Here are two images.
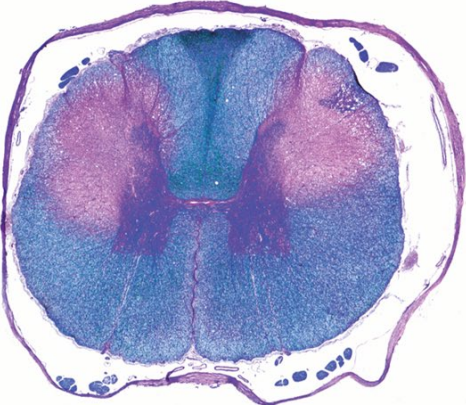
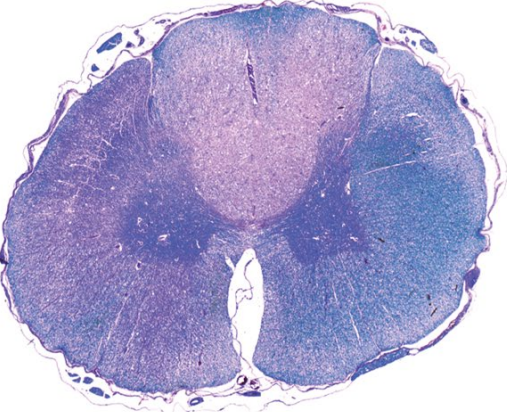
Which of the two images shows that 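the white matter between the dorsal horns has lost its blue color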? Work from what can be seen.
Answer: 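Second image: the dorsal columns are pale pink. First image: the dorsal columns are blue-green while pink areas lie laterally. So: the second image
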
